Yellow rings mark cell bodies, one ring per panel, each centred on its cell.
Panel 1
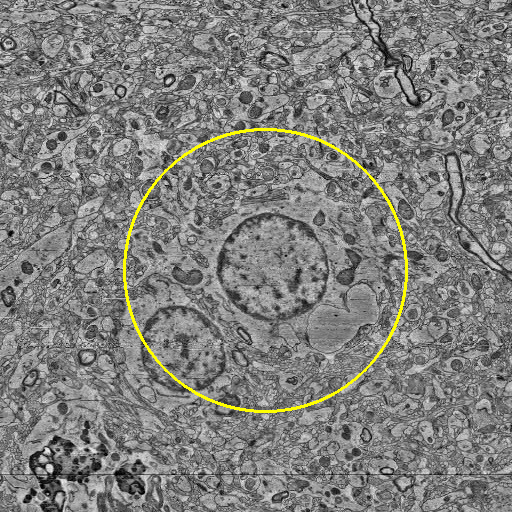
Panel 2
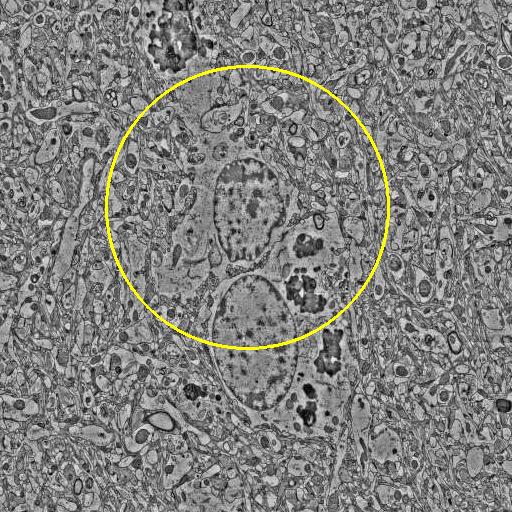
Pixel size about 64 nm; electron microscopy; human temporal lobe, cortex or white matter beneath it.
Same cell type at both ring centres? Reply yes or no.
yes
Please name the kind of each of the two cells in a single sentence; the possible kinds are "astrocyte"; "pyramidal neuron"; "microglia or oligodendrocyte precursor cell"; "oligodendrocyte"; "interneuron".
Each of the two rings is centred on an astrocyte.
